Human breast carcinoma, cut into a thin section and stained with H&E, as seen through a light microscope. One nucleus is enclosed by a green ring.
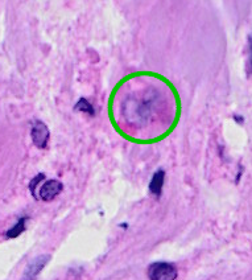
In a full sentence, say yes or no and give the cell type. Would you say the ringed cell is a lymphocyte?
No, on this slide the ringed cell is an endothelial cell, not a lymphocyte.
